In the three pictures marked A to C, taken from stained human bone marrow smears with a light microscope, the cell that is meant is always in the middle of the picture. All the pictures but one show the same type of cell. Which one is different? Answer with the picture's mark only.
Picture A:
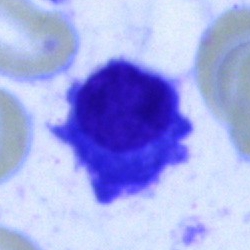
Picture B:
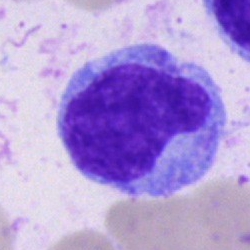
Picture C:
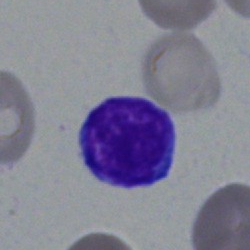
C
